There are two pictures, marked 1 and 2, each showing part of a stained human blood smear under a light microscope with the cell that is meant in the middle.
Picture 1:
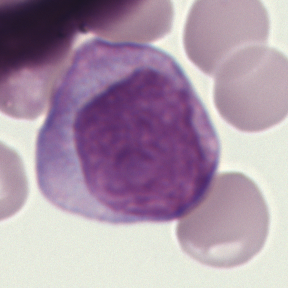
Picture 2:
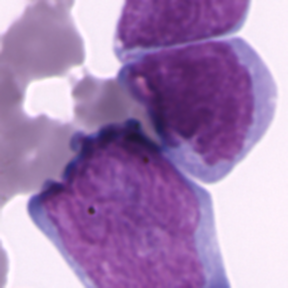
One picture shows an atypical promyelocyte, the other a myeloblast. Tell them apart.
1: atypical promyelocyte
2: myeloblast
